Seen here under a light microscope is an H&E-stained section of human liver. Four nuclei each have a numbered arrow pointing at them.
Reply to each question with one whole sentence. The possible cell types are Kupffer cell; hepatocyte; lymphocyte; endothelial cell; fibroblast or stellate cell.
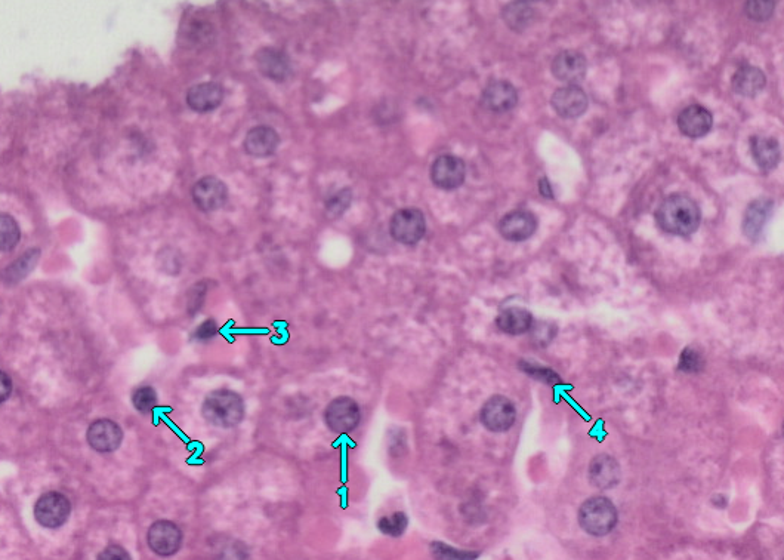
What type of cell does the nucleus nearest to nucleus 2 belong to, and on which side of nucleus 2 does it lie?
A hepatocyte lies closest, below and to the left of nucleus 2.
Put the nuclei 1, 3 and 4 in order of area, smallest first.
From smallest to largest, the order is 3, 4, 1.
